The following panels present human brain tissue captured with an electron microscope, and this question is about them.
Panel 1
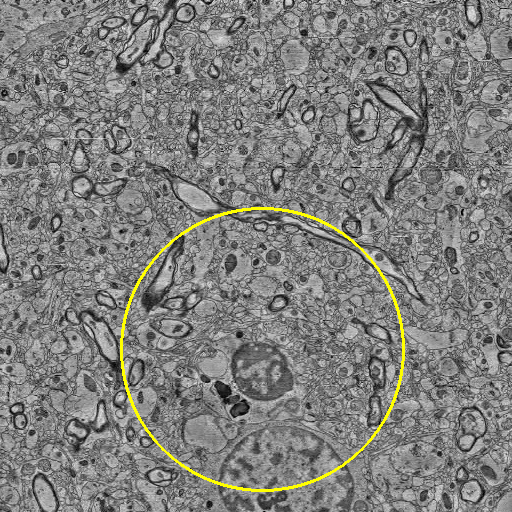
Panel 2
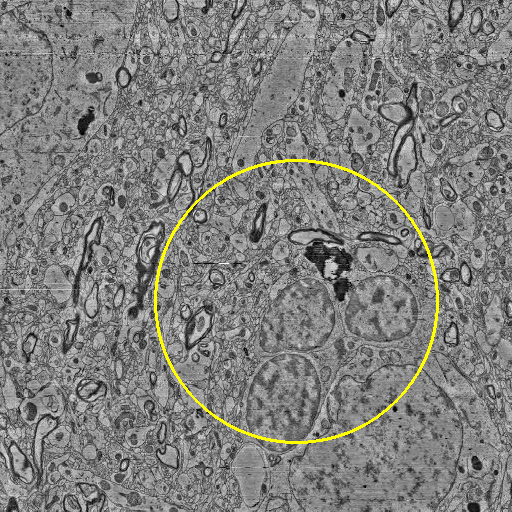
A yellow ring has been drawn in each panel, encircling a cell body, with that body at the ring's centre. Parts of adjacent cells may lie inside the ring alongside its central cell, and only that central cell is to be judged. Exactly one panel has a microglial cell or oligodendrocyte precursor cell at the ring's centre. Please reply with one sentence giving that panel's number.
The ring whose central cell fits the description is the one in panel 1.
